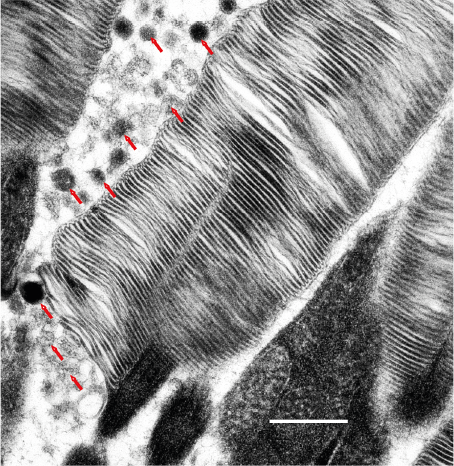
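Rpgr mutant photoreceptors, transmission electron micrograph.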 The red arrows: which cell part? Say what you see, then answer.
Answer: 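Shed vesicles. Small round membrane-bound profiles, some with dark contents, gather beside a stack of discs. The round profiles lie in a pale space outside the stacked membranes.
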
